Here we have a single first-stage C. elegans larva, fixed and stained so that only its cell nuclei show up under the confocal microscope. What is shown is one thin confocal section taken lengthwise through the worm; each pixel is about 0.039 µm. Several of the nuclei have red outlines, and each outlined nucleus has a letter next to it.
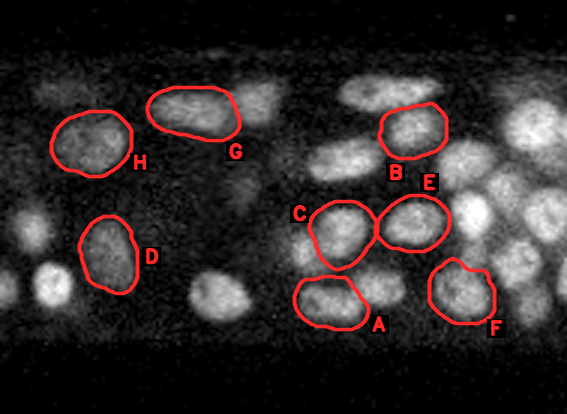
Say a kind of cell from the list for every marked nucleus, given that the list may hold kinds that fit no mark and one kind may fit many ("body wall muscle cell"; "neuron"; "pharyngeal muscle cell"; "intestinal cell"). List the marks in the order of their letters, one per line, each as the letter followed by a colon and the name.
A: body wall muscle cell
B: neuron
C: pharyngeal muscle cell
D: intestinal cell
E: pharyngeal muscle cell
F: body wall muscle cell
G: body wall muscle cell
H: intestinal cell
